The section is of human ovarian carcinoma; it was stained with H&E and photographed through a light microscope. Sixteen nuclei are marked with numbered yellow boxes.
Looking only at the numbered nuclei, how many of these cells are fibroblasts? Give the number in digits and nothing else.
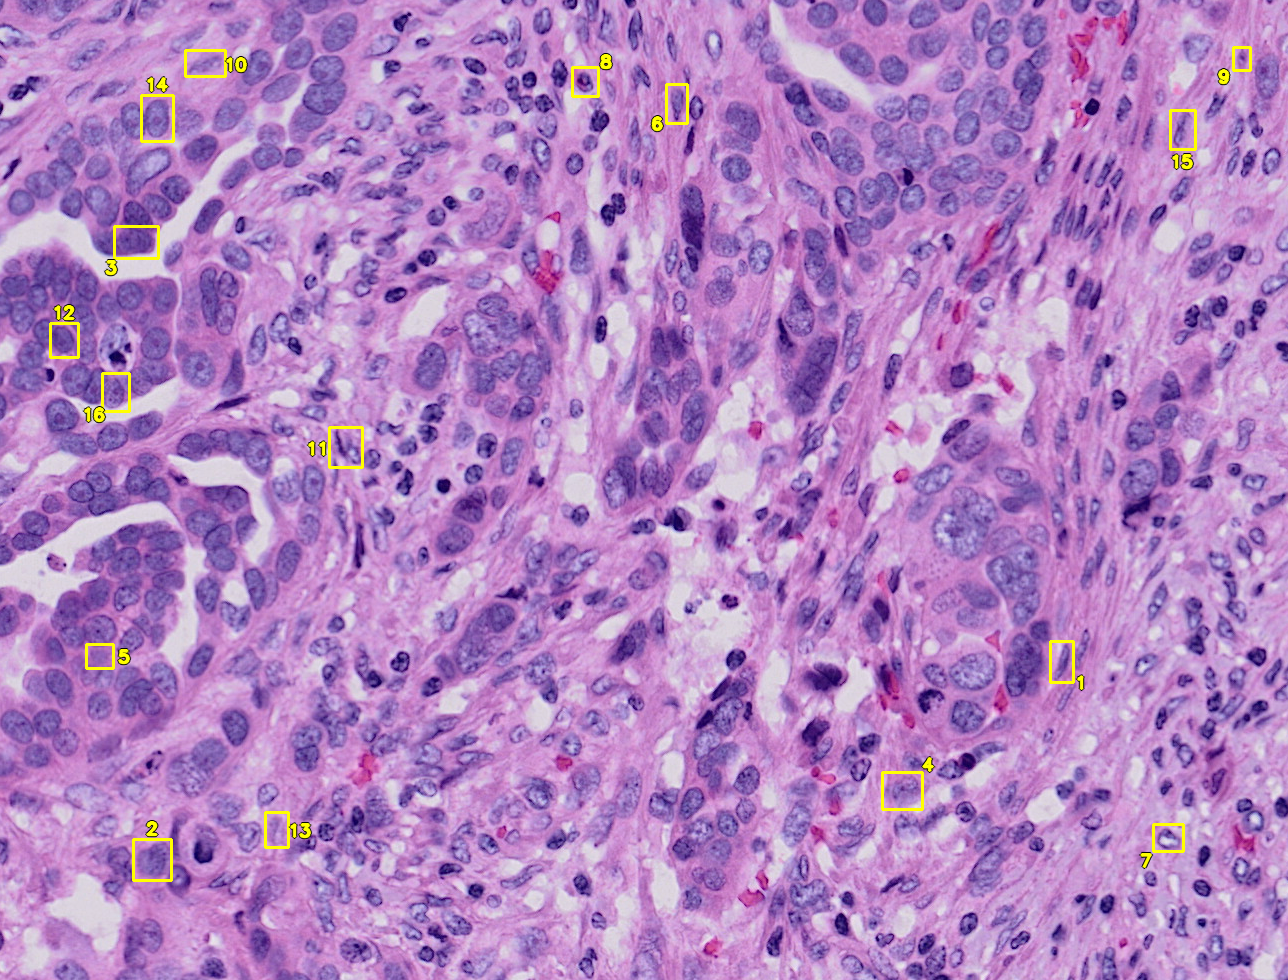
9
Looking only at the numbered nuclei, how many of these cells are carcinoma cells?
6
